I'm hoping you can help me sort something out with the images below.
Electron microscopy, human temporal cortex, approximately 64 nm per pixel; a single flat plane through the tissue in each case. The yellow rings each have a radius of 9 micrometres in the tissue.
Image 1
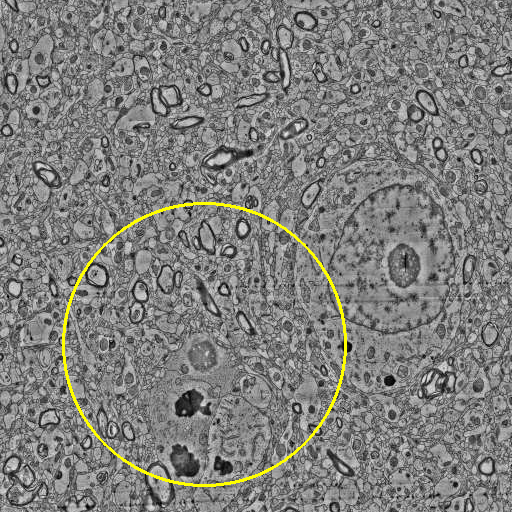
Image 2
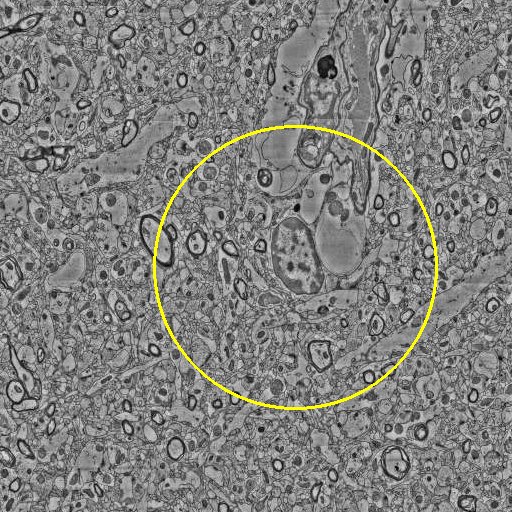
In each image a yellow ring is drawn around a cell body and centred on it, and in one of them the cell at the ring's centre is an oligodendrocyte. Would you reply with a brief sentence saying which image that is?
In Image 1, the cell at the centre of the ring is the one you asked about.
